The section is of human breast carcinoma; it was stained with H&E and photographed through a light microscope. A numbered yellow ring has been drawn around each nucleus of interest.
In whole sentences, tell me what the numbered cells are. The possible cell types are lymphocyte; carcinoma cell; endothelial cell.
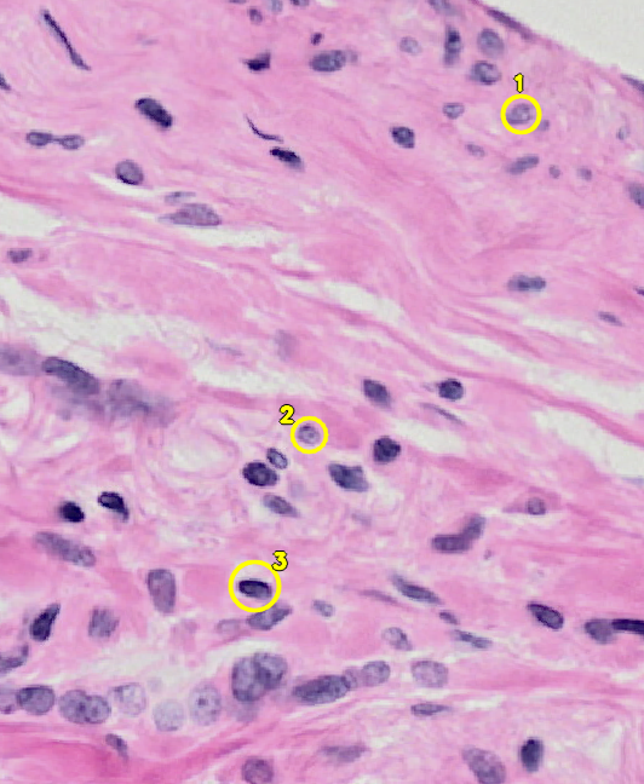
Cell 1 is an endothelial cell. Cells 2 and 3 are lymphocytes.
